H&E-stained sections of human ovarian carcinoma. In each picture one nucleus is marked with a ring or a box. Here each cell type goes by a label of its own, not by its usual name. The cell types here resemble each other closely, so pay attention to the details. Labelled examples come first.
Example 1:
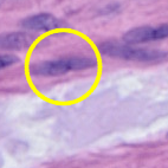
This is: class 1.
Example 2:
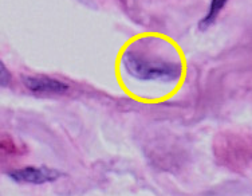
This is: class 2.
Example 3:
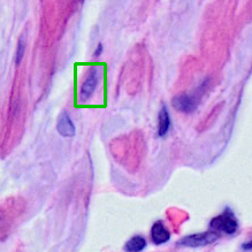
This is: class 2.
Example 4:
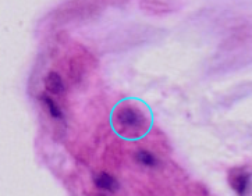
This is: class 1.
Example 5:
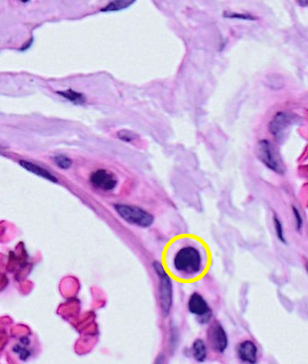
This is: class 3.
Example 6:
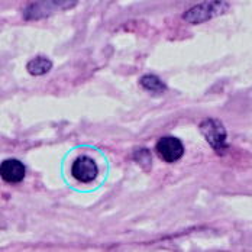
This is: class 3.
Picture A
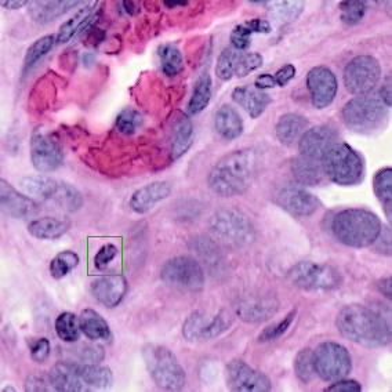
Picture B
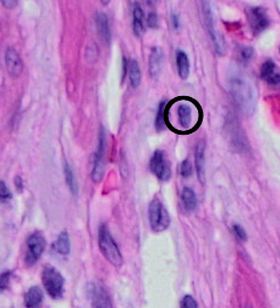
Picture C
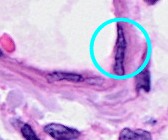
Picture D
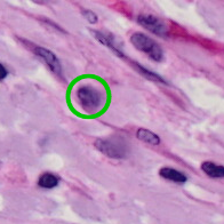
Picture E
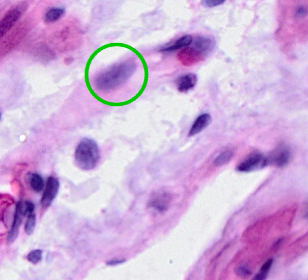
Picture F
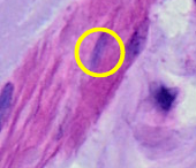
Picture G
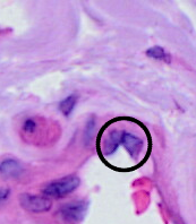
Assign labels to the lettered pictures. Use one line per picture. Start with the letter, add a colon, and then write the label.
A: class 3.
B: class 3.
C: class 2.
D: class 3.
E: class 2.
F: class 1.
G: class 2.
